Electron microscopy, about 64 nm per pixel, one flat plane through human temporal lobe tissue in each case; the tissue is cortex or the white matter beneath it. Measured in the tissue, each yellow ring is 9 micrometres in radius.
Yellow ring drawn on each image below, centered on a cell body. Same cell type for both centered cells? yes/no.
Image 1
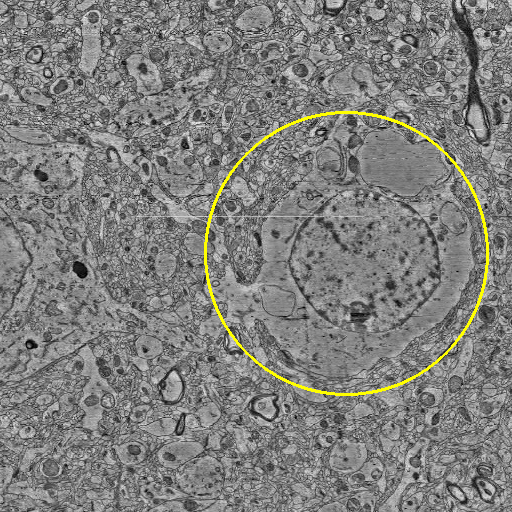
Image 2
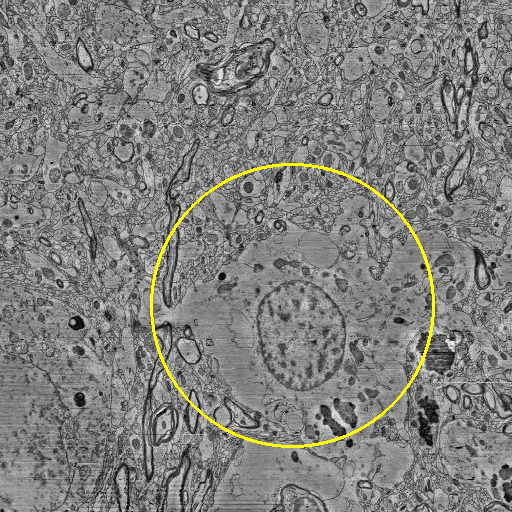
yes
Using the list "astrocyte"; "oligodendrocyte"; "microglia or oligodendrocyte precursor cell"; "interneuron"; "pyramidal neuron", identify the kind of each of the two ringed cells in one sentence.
Each of the two pictures has an astrocyte at the ring centre.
